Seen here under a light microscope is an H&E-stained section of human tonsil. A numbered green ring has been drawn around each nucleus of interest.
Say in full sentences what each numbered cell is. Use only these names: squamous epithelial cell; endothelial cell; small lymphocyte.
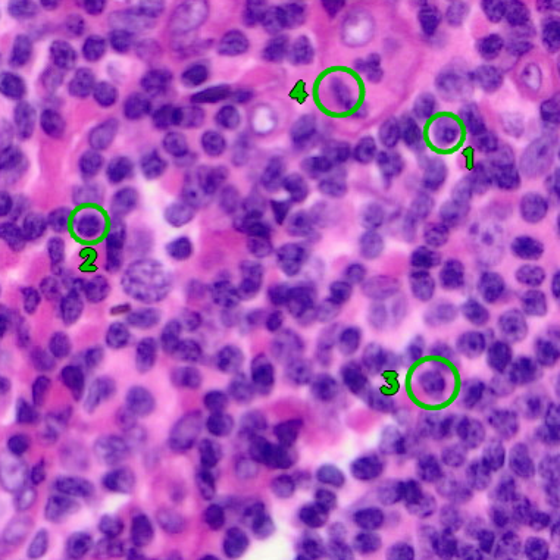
Cell 1 is a small lymphocyte, cell 2 is a small lymphocyte, cell 3 is a small lymphocyte and cell 4 is an endothelial cell.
